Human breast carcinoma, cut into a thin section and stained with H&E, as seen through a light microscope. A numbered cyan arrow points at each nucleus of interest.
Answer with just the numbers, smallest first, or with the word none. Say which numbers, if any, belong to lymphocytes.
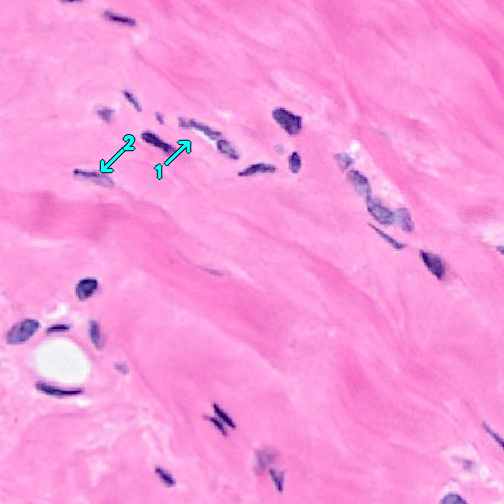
none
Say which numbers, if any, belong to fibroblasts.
2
